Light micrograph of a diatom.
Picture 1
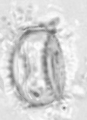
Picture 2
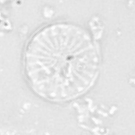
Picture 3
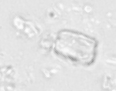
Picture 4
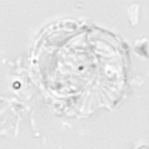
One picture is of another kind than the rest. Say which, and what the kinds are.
Picture 3 shows Thalassiosira; the rest show Stephanodiscus.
